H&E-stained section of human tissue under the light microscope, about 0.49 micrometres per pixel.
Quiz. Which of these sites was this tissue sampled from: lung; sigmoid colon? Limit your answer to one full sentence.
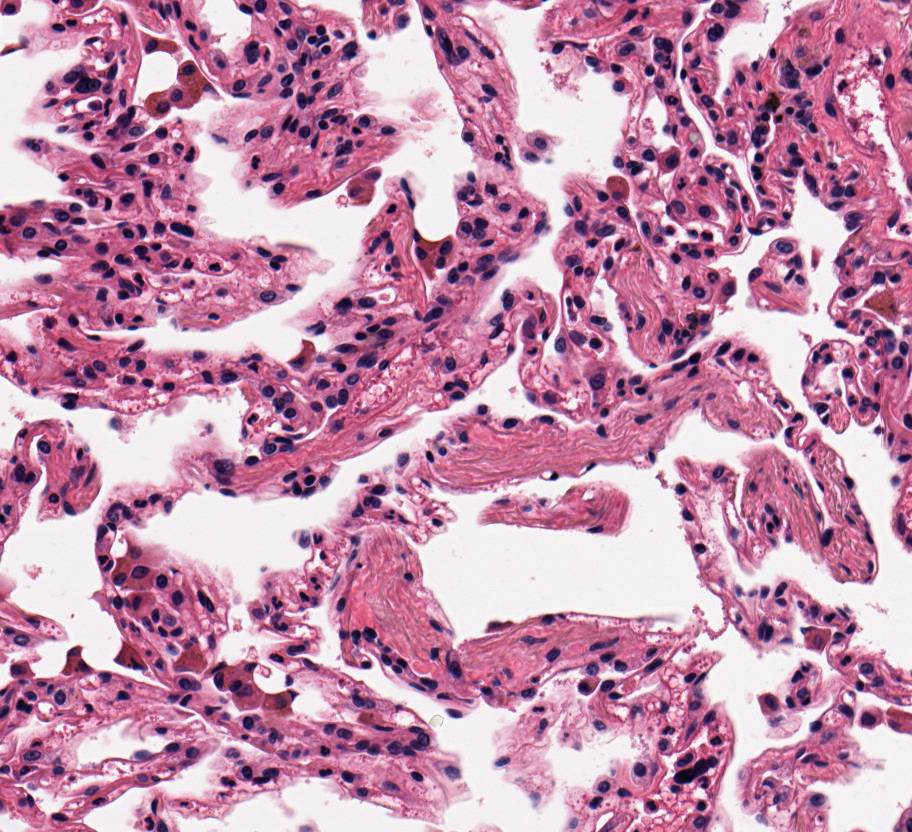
The origin of this tissue is the lung.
